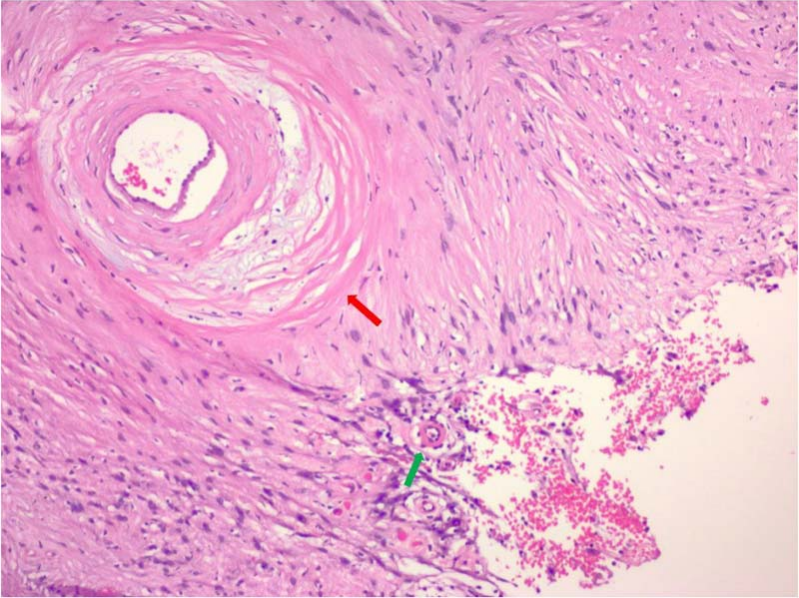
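The field shows a spindle-cell tumour. Elongated, wavy cells with slender purple nuclei lie in loose fascicles within a pale pink fibrillary stroma. At upper left a vessel has a small lumen holding red blood cells, surrounded by a very thick wall of concentric, glassy pink lamellae with pale spaces between them. At lower right there is a cleft-like space filled with free red blood cells, and small round vessels with pink walls lie at its edge. These features fit a nerve sheath tumour with degenerative, so-called ancient changes, including hyalinized vessel walls.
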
